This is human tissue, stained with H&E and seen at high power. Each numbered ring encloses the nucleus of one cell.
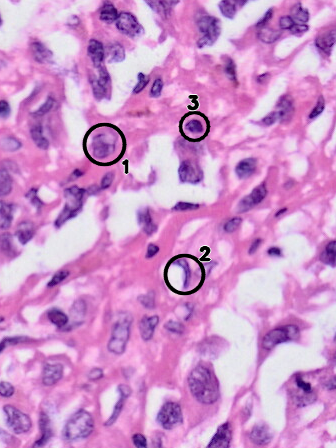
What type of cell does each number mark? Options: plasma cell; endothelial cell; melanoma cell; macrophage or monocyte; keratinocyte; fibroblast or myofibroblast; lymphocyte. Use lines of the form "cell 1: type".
cell 1: melanoma cell
cell 2: endothelial cell
cell 3: lymphocyte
